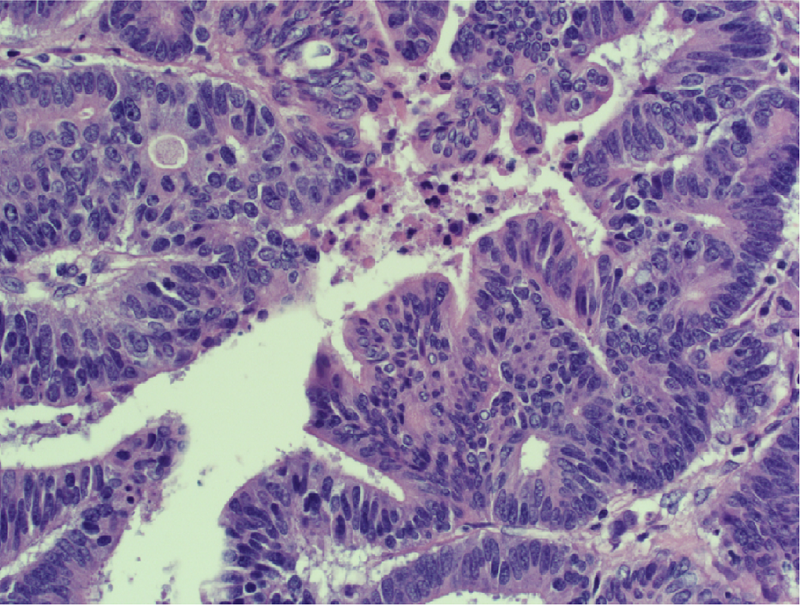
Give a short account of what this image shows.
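Tumor glands lined by tall columnar epithelial cells with crowded, stratified, elongated dark-purple nuclei, forming branching lumens. Stroma between glands is scant, with only a few small inflammatory cells.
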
